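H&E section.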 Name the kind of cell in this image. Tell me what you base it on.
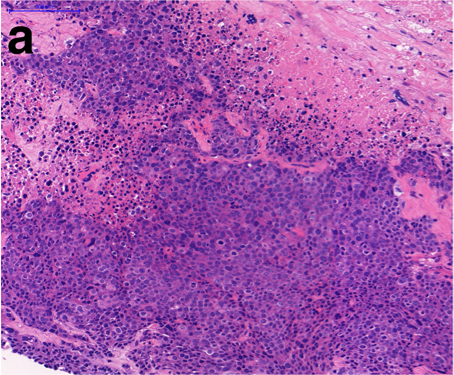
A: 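Dense solid sheets of crowded cells with large dark nuclei. Nuclei vary in size and shape from cell to cell. Pink fibrous stroma borders the cell sheets at the top right.
Answer: pleomorphic tumor cells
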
